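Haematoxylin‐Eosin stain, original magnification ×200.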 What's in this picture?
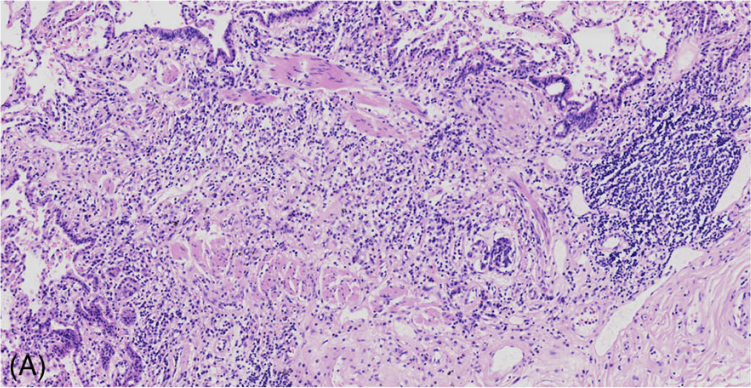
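This is lung tissue in which a small airway, a bronchiole, has been completely filled and obliterated by granulation tissue rich in inflammatory cells. The centre shows loose, pale pink stroma crowded with small round and spindle nuclei, with no open lumen left. Pink, elongated bundles of smooth muscle lie scattered and interrupted around the filled area rather than forming an intact ring. At the right a compact cluster of small, dark, densely packed lymphocytes forms a dark blue aggregate. Along the upper and left edges, air spaces are lined by a purple epithelium, and denser pink fibrous tissue lies at the lower right.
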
